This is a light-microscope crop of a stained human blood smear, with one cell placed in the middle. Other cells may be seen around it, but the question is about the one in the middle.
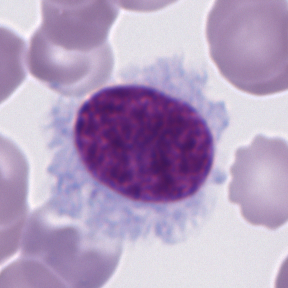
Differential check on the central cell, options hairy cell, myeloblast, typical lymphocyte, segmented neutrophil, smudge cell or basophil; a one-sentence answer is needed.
Framed in the middle of the crop is a hairy cell.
